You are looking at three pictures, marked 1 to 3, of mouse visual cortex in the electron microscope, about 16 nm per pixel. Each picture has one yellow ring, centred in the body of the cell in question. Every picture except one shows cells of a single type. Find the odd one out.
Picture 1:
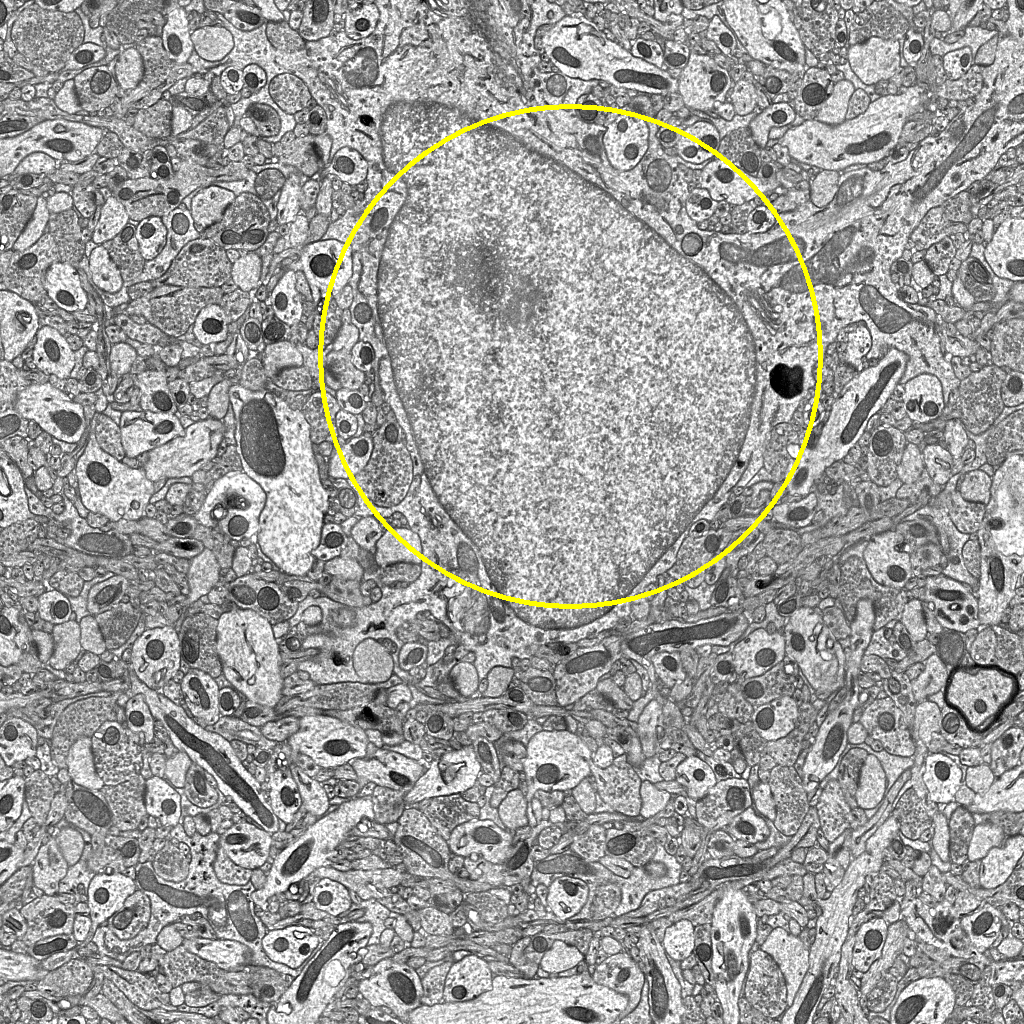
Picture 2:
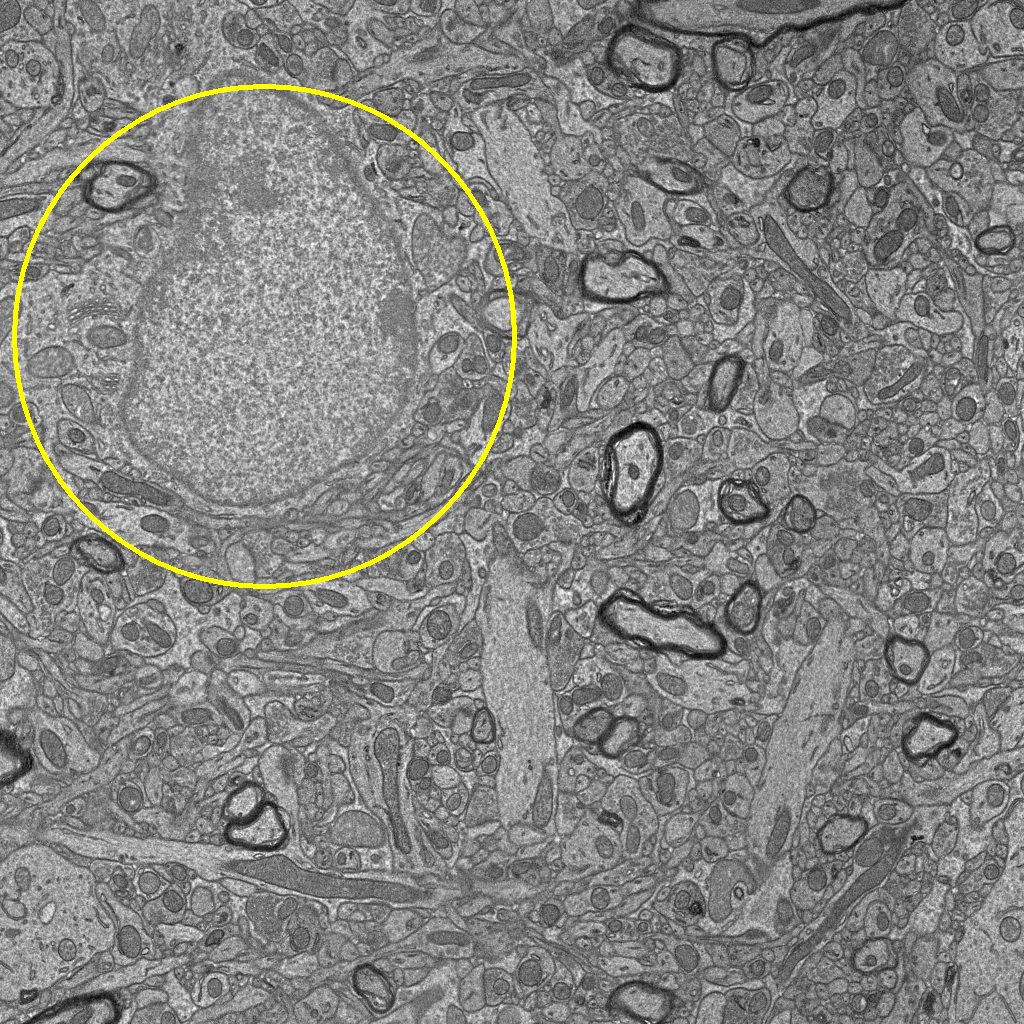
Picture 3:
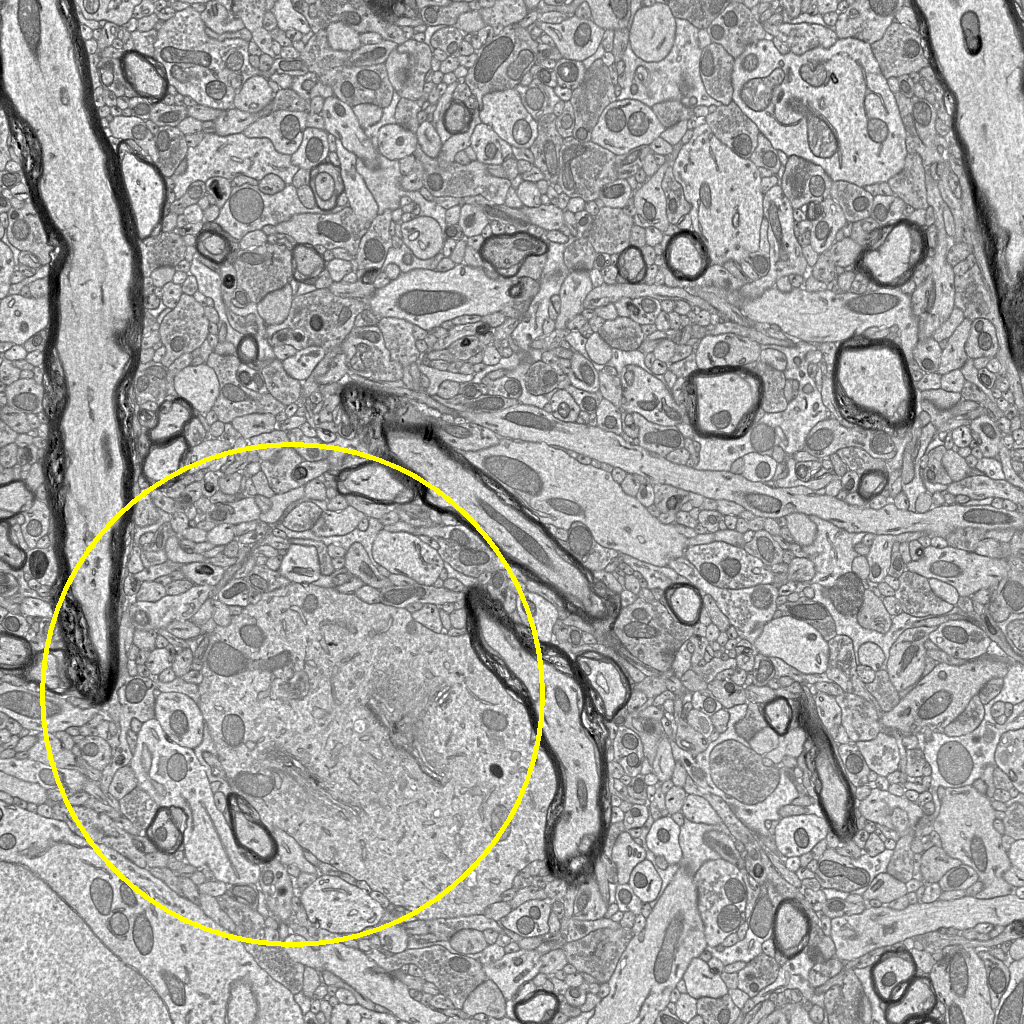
Picture 3 is the odd one out: it shows an oligodendrocyte, while the others show astrocytes.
